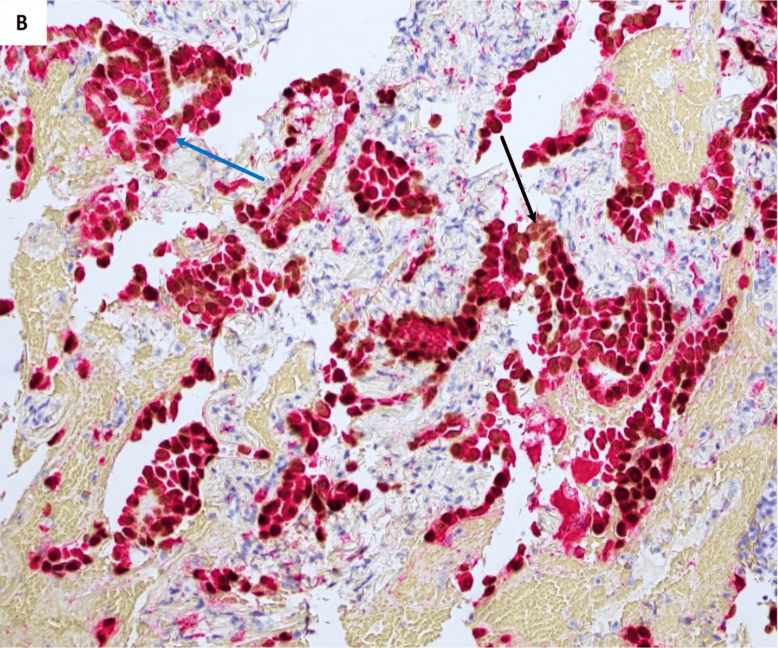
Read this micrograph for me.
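This shows tumour cells of a lung adenocarcinoma lining thin septa and forming small clusters. Nearly all tumour cells have brown-stained nuclei and red-stained cytoplasm, while the surrounding stromal cells have only blue nuclei. The tumour cells line the septa in single or layered rows.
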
